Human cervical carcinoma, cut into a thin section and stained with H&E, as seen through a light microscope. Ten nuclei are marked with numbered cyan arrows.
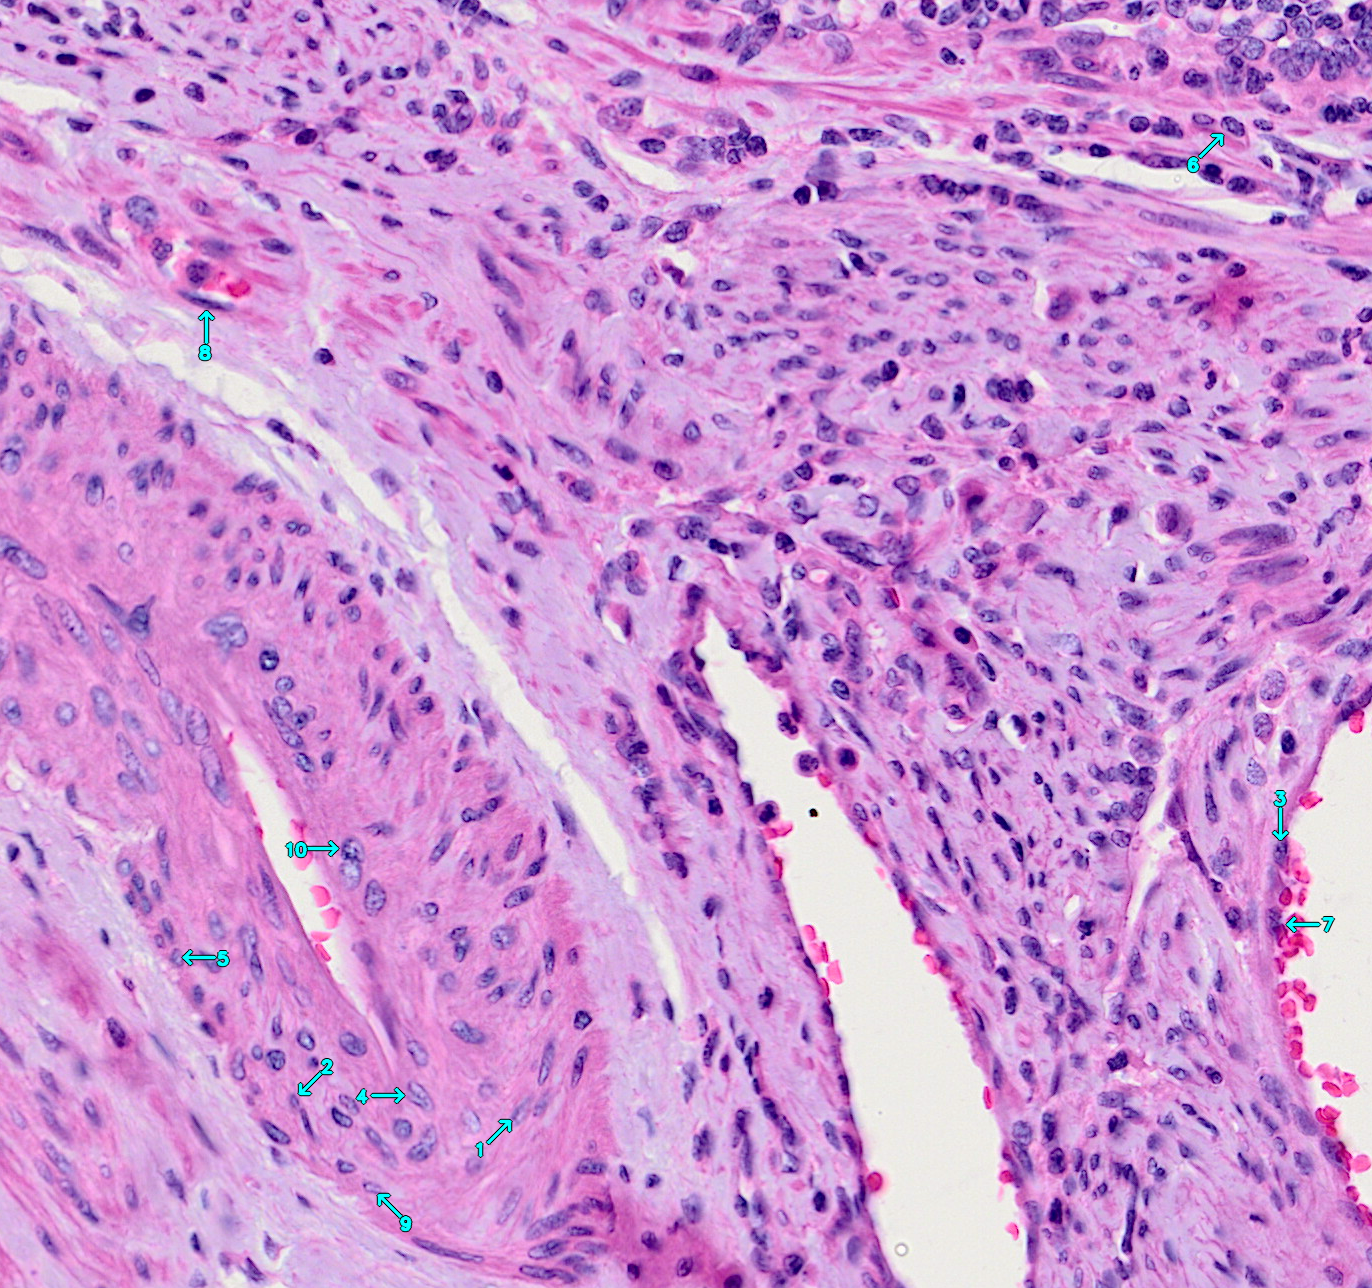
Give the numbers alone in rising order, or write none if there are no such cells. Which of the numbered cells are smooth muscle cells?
1, 2, 4, 5, 9, 10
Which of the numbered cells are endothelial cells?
3, 7, 8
